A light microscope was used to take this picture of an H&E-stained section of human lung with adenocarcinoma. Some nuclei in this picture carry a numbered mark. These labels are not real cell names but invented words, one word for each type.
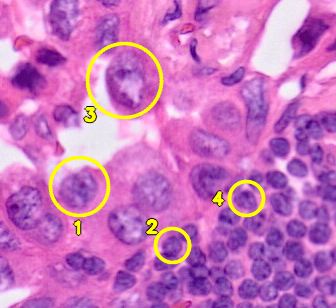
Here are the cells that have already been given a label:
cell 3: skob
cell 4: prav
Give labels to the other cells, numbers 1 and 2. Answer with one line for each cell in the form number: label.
1: skob
2: prav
